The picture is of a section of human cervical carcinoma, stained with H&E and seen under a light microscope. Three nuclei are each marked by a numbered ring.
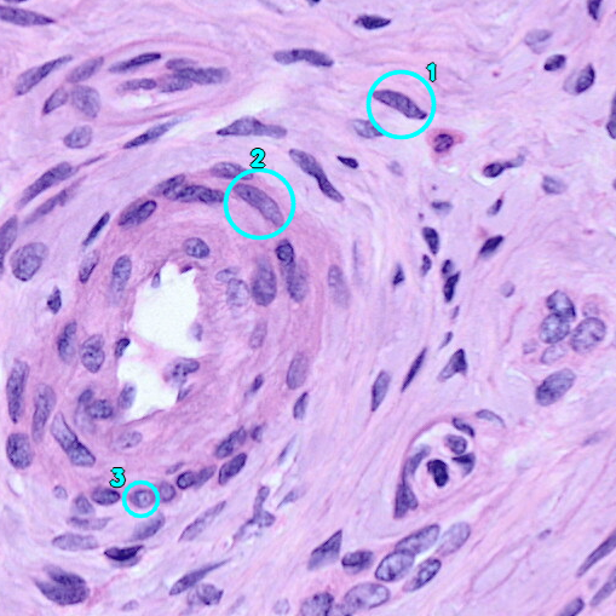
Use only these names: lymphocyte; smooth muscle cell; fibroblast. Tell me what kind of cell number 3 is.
smooth muscle cell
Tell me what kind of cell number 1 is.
fibroblast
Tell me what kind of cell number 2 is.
smooth muscle cell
